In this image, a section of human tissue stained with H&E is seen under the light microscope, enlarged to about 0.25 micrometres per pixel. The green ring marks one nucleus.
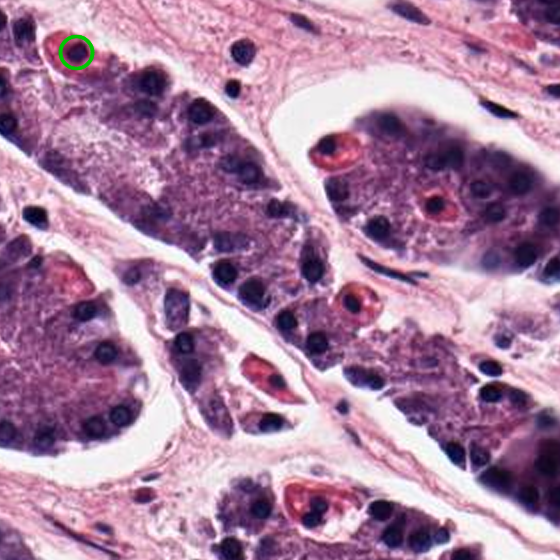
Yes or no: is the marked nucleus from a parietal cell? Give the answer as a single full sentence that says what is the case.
Yes, the marked nucleus is one that belongs to a parietal cell.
